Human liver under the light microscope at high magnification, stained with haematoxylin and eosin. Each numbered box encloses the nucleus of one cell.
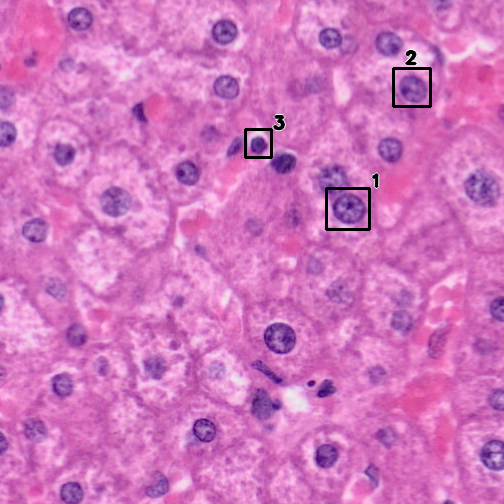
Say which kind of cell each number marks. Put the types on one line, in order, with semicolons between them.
hepatocyte; hepatocyte; lymphocyte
